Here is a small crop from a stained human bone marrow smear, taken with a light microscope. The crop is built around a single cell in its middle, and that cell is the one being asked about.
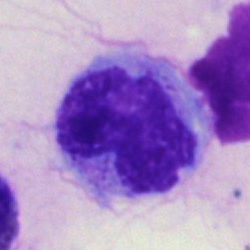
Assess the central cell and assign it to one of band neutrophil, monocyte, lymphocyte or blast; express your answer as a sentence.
The middle position in this crop is taken by a monocyte.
